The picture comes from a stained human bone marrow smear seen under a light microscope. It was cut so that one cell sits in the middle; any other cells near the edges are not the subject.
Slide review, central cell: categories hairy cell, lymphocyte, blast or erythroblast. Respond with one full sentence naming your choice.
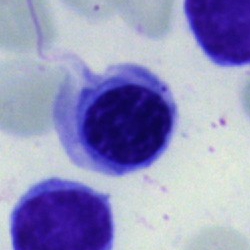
The cell in the exact centre of the crop is an erythroblast.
